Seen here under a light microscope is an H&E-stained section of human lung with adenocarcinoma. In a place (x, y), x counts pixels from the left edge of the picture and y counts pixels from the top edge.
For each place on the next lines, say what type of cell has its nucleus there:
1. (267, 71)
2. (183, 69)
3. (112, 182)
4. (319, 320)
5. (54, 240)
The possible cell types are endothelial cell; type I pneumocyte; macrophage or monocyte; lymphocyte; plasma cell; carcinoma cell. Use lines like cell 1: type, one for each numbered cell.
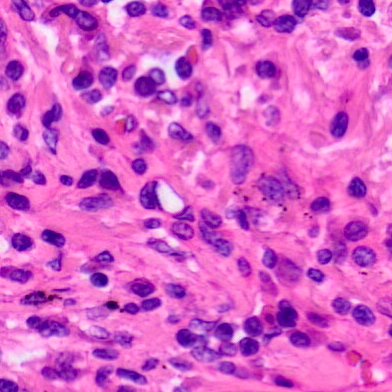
cell 1: plasma cell
cell 2: lymphocyte
cell 3: plasma cell
cell 4: plasma cell
cell 5: lymphocyte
